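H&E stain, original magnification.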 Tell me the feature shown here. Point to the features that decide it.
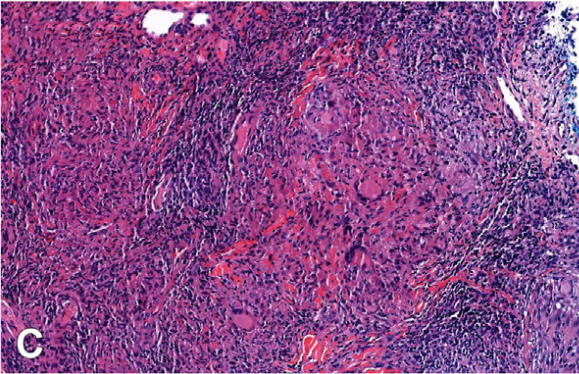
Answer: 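Nodular aggregates of epithelioid histiocytes rimmed by lymphocytes. Rounded nests of pale pink cells with oval nuclei.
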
